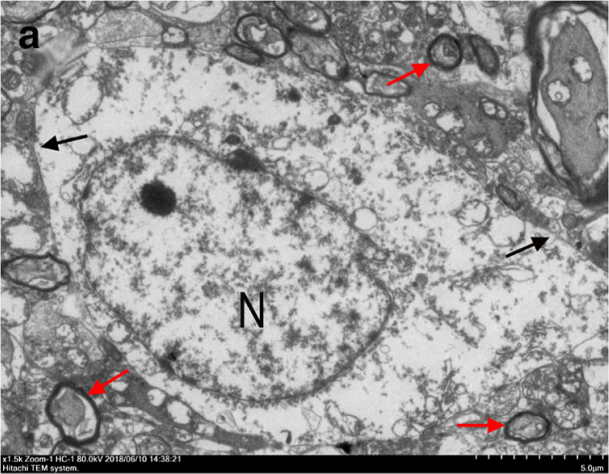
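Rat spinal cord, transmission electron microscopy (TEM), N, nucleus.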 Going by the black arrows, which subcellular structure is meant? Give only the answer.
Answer: Cell membrane.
